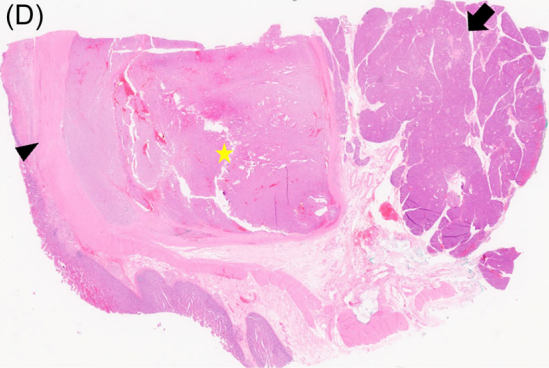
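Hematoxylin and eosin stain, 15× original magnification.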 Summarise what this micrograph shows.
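Low-power section of a tumor lying between duodenal muscle wall and pancreas. The centre is taken up by a large, pale pink, fairly well-demarcated mass with a fibrous rim on part of its border and cleft-like spaces inside. Along the left edge runs a broad pink band of smooth muscle with a thin purple mucosal layer outside it. To the right lies pancreatic tissue, divided into many purple lobules by thin pale septa. Between the mass and the lobules is looser, paler connective tissue with small vessels and a few red blood cell collections.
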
